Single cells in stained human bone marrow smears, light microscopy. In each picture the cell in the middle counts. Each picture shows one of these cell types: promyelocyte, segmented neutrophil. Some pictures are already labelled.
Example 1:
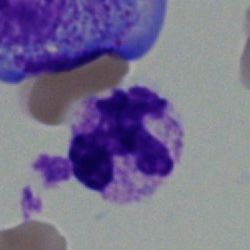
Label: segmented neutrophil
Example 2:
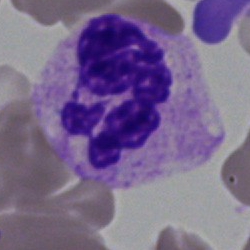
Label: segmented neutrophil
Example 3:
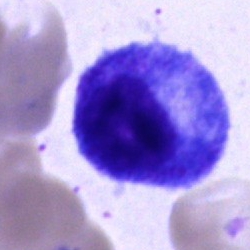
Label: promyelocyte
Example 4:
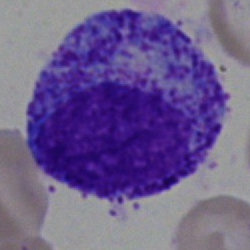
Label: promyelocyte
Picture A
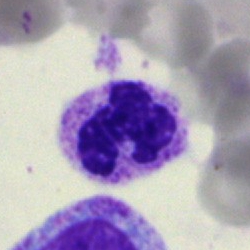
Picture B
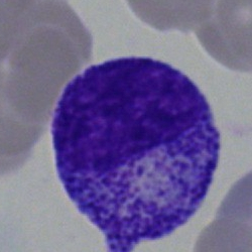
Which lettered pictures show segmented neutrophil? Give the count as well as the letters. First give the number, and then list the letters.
1: A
